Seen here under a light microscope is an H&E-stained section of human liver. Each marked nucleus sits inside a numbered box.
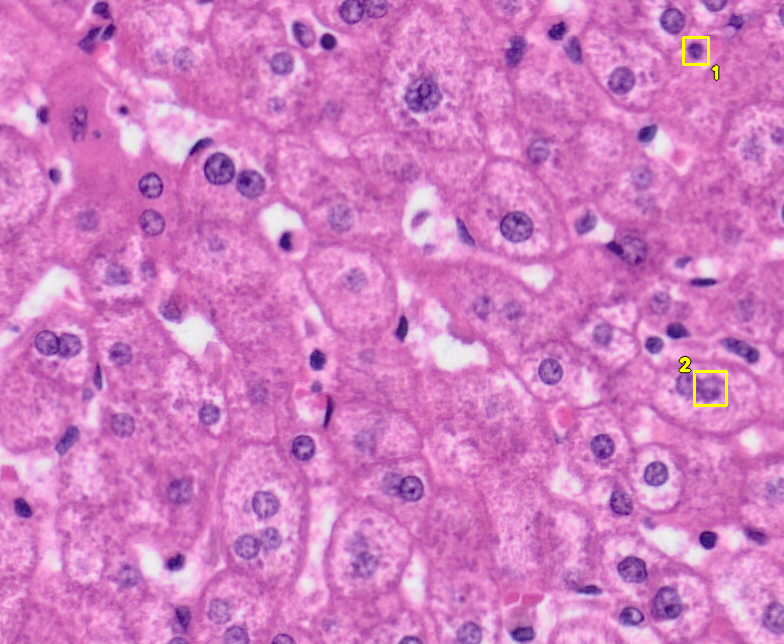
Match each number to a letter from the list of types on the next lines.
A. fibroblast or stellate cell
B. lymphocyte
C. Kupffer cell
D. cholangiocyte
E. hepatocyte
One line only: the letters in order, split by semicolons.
B; E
